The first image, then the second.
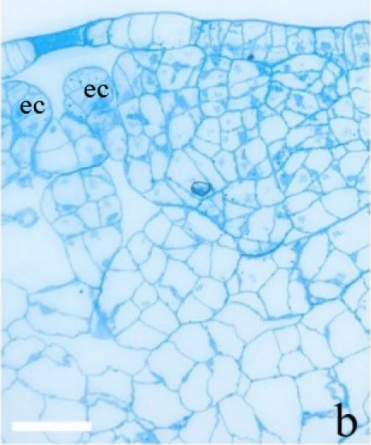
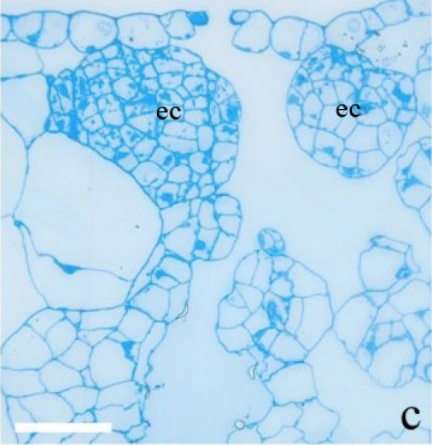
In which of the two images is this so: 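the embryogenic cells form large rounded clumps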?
The second image.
